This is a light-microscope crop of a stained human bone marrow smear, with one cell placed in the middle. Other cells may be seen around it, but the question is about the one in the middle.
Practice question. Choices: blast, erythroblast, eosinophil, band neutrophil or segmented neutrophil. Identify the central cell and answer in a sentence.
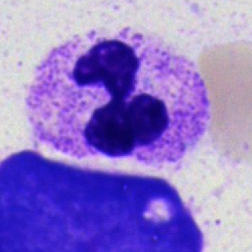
The single cell at the center of the crop is a segmented neutrophil.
